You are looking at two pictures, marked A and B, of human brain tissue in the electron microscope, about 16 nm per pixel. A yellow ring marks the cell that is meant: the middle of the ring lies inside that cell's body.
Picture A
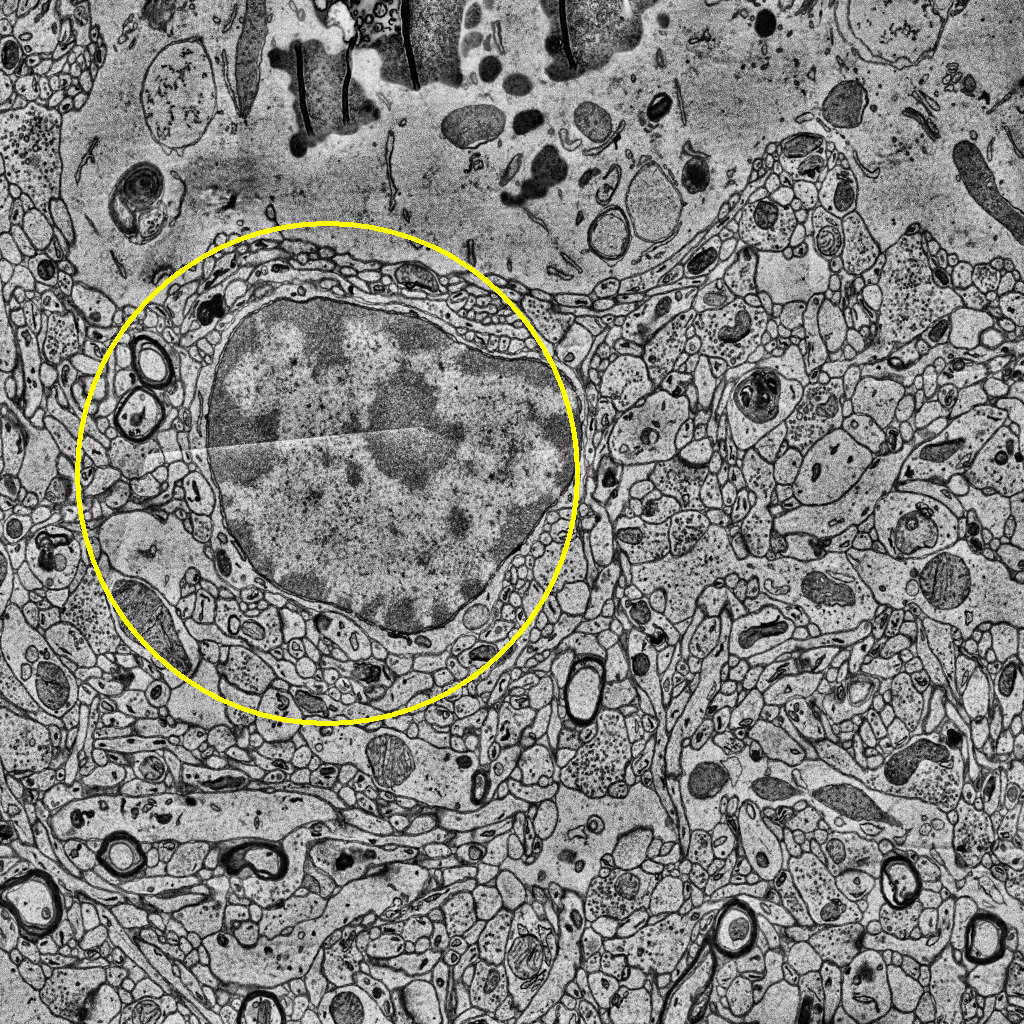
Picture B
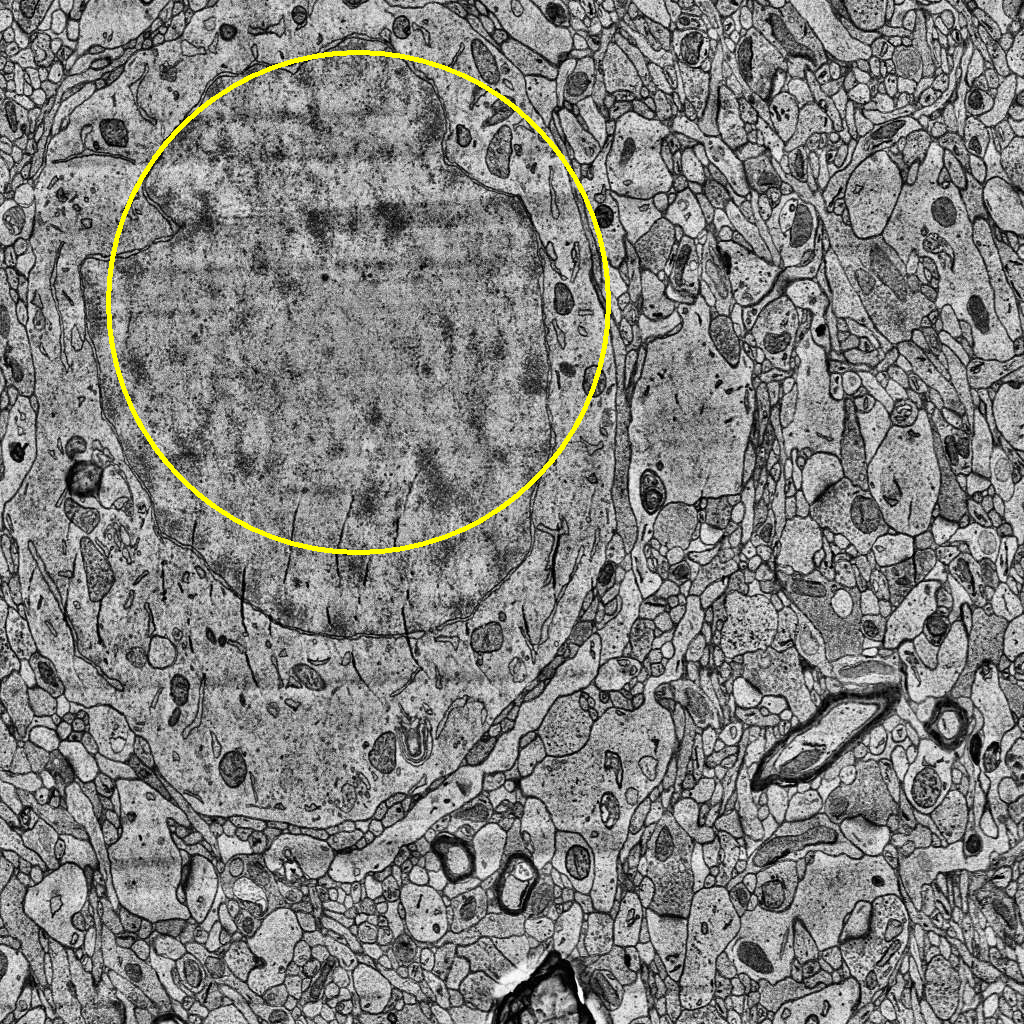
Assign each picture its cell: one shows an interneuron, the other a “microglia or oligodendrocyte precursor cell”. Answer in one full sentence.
Picture A shows a “microglia or oligodendrocyte precursor cell” and picture B shows an interneuron.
